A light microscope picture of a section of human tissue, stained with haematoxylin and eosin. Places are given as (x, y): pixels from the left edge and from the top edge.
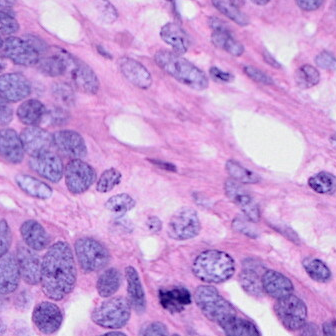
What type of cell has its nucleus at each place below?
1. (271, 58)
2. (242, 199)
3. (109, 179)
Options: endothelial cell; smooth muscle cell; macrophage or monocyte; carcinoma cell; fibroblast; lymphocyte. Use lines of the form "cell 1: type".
cell 1: fibroblast
cell 2: fibroblast
cell 3: macrophage or monocyte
